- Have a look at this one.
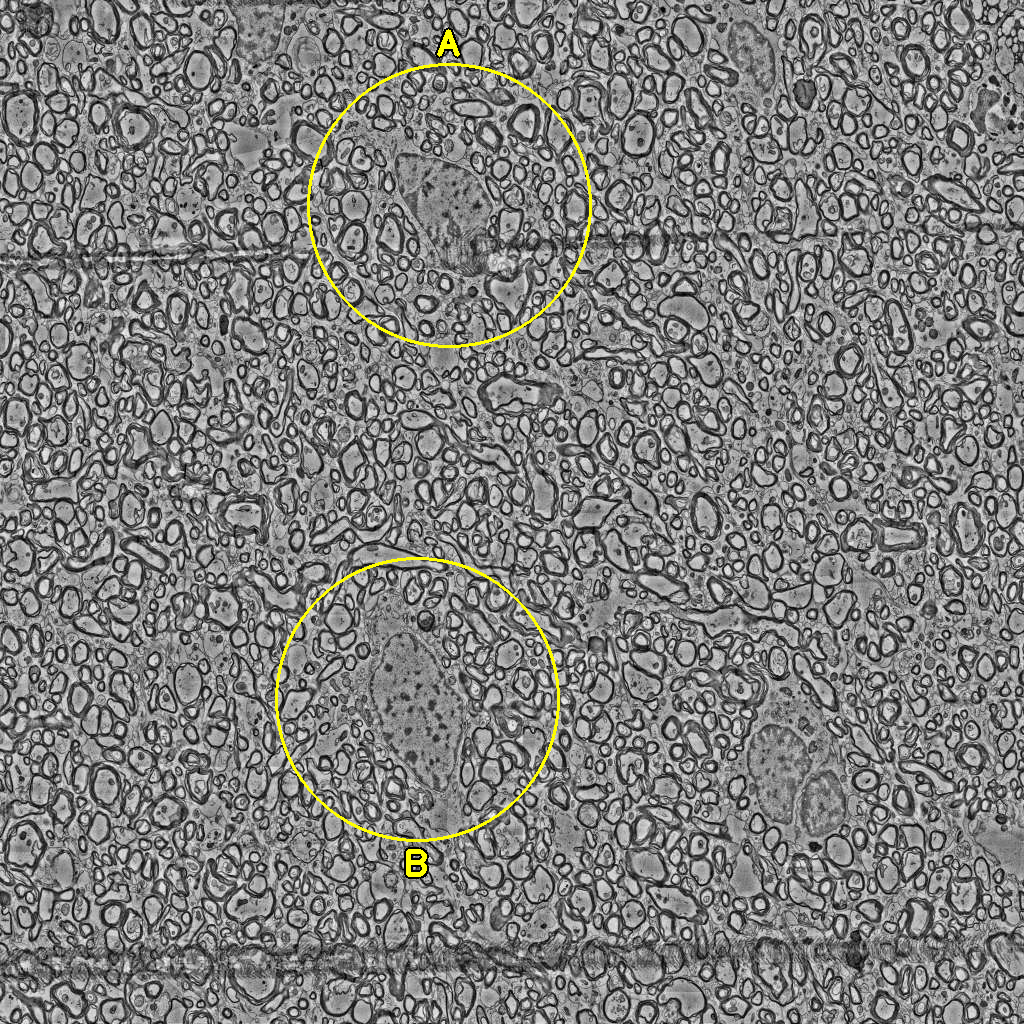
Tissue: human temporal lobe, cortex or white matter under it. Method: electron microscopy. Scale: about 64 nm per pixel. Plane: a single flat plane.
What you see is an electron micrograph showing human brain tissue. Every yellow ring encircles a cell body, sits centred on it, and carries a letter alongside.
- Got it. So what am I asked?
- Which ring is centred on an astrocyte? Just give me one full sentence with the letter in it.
The cell asked for sits in the centre of the ring lettered B.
